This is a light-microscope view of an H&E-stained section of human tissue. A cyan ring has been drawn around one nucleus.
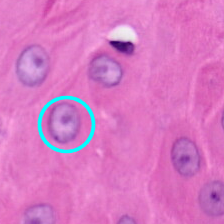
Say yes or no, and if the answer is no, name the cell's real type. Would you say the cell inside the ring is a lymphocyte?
No, it is a keratinocyte.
